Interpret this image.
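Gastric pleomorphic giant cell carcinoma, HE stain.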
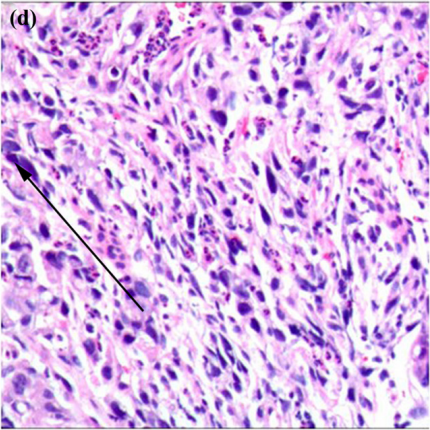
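Tumor cells are mostly short spindle and spindle-shaped with elongated dark purple nuclei, lying in loose streams. Scattered among them are cells with larger, darker and irregular nuclei, with a few red blood cells near the top.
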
